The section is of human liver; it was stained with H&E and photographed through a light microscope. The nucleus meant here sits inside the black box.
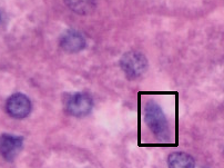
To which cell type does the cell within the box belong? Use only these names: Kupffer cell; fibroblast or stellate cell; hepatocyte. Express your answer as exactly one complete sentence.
The identity of the cell within the box is that of a Kupffer cell.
